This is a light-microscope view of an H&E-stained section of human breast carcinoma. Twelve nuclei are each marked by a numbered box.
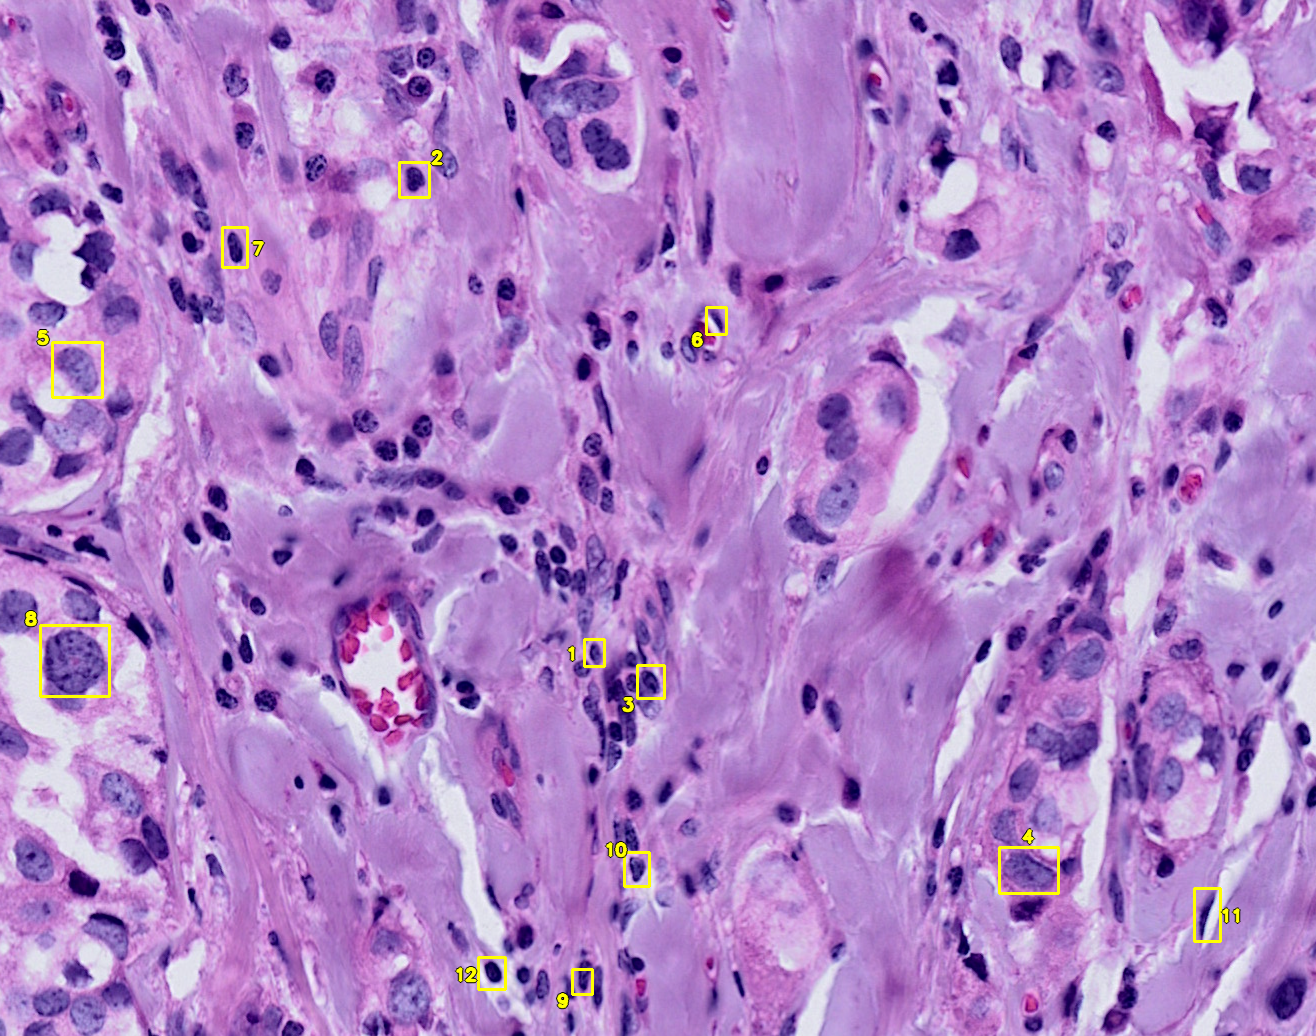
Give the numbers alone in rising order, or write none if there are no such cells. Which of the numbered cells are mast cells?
none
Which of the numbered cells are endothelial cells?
6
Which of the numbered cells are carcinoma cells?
4, 5, 8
